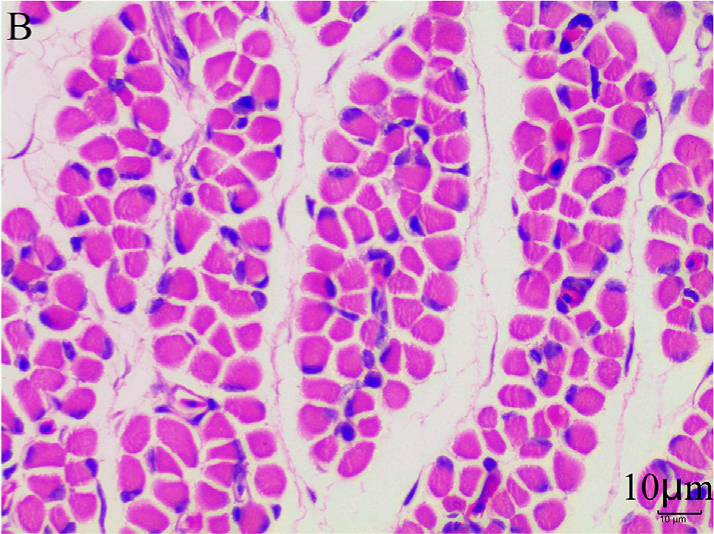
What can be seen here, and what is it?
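The fibers are polygonal to rounded, with evenly bright pink cytoplasm, and vary somewhat in size. Dark purple nuclei lie at the margins of the fibers rather than in their centres. The bundles are separated by wide pale spaces crossed by thin, wispy strands of connective tissue.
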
